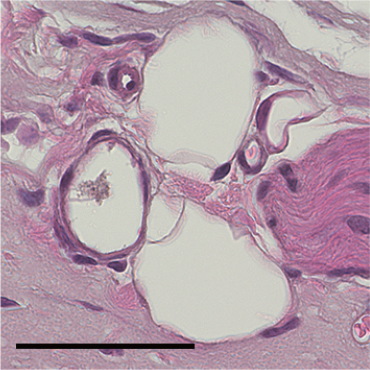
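A smaller vessel at the top has a thicker ring of cells around a narrow lumen, and a red blood cell sits in another small channel. Between the vessels lies loose pink fibrous matrix with scattered spindle-shaped cells, and to the right a denser pink fibrous bundle with wavy texture borders the group.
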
